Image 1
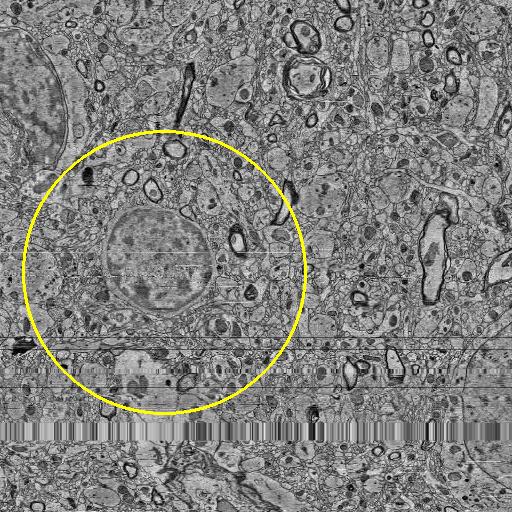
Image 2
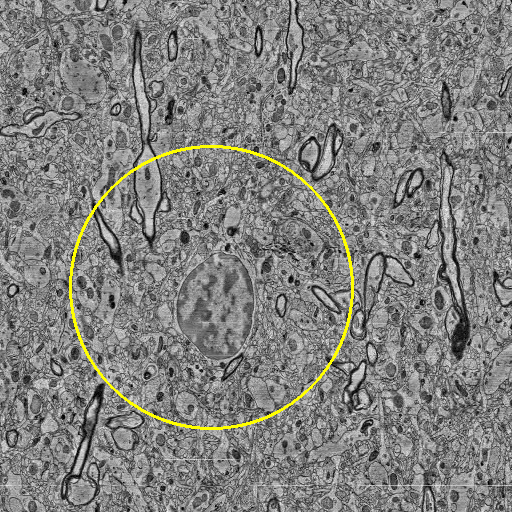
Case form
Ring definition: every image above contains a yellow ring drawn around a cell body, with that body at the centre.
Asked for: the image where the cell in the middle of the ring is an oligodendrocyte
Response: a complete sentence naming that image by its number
Image 1 is the one.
